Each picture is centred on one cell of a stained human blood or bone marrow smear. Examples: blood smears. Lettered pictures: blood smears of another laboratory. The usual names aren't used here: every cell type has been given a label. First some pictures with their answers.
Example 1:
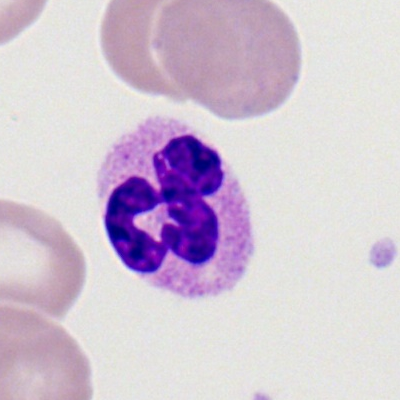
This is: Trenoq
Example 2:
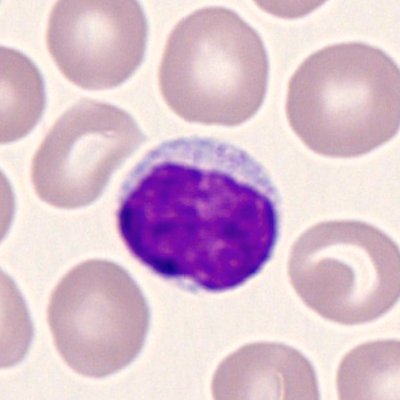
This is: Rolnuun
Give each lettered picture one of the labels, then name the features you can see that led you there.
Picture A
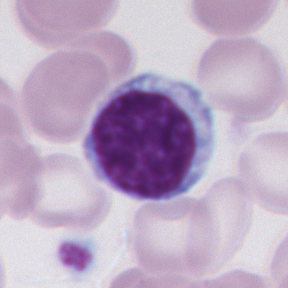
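Rolnuun. Evidence: The cytoplasm forms a narrow rim that is widest at the upper right.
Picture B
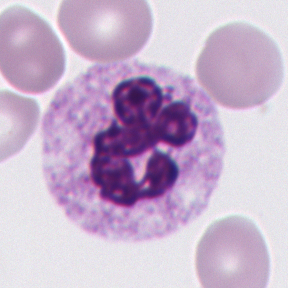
Trenoq. Evidence: The nucleus is divided into several separate lobes.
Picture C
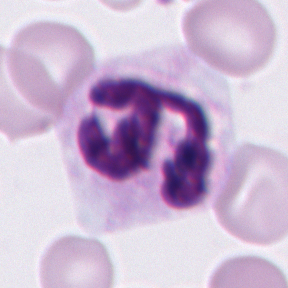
Trenoq. Evidence: The cytoplasm is plentiful and pale pinkish-lilac.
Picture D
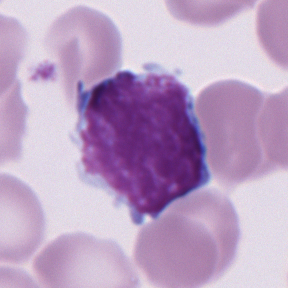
Rolnuun. Evidence: The nucleus fills almost the whole cell.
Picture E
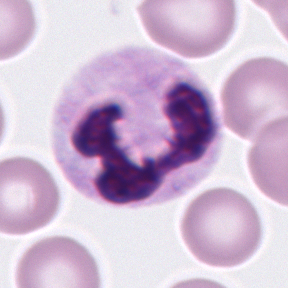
Trenoq. Evidence: The nucleus is bent into a U shape with both ends pointing upward.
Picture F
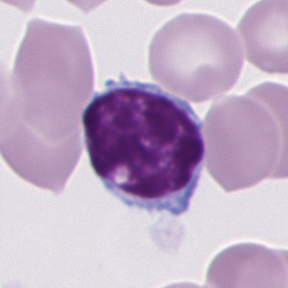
Rolnuun. Evidence: The cytoplasm forms only a narrow rim around the nucleus.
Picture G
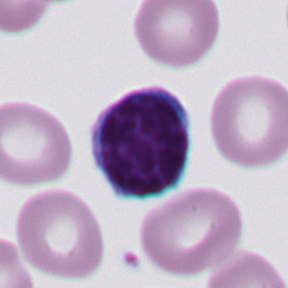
Rolnuun. Evidence: The cytoplasm is only a very thin pale bluish rim at the edge of the cell.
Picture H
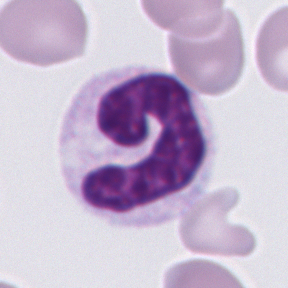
Trenoq. Evidence: The nucleus is a curved band whose opening faces left.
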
